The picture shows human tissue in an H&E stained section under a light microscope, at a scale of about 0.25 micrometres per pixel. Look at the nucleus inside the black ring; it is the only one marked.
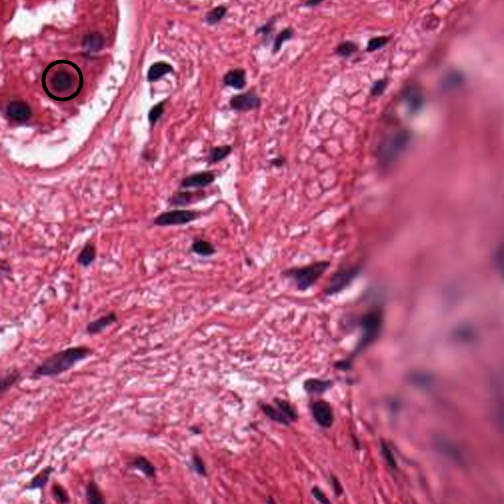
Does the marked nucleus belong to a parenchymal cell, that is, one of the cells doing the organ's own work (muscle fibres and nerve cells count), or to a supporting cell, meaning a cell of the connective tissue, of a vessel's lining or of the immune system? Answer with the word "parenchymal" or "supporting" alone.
parenchymal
